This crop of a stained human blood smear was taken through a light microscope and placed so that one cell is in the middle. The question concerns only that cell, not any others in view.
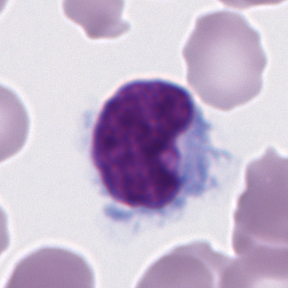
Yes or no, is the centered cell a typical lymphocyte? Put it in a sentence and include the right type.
No, the central cell is a hairy cell; it should not be labelled a typical lymphocyte.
